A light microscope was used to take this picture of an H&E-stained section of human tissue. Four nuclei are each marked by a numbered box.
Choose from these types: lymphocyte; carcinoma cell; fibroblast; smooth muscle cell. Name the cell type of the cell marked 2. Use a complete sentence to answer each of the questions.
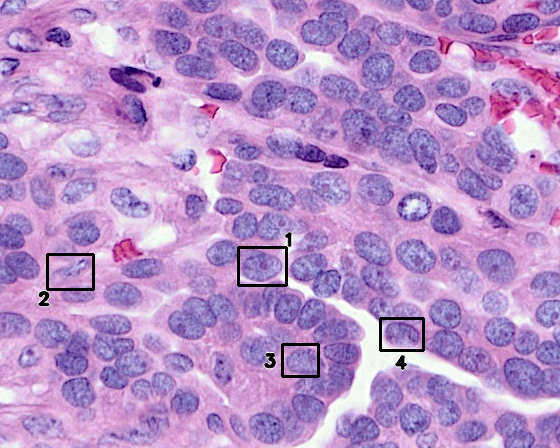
Cell 2, among those numbered, is a fibroblast.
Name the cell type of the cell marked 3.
The cell that is numbered 3 is a carcinoma cell.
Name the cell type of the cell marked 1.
Denoted by the label 1 in the section is a carcinoma cell.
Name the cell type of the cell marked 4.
The one numbered 4 among the marked cells is a carcinoma cell.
